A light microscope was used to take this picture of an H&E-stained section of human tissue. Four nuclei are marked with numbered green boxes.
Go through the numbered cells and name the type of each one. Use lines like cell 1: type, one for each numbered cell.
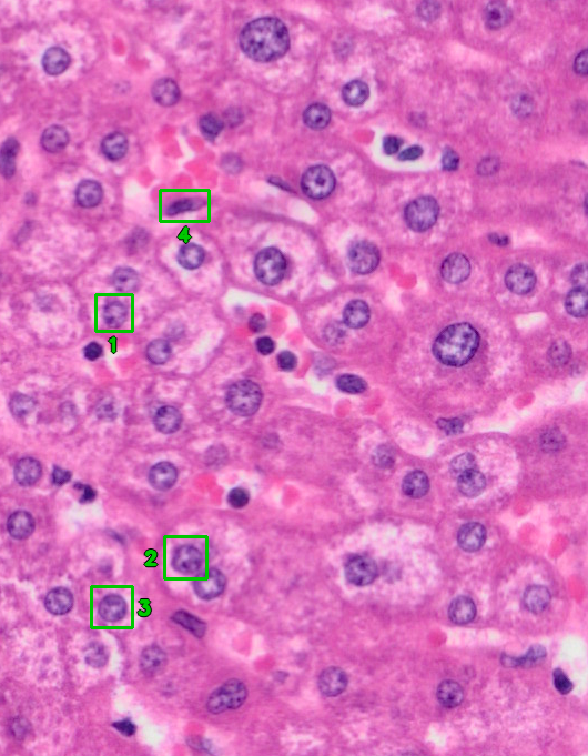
cell 1: hepatocyte
cell 2: hepatocyte
cell 3: hepatocyte
cell 4: Kupffer cell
